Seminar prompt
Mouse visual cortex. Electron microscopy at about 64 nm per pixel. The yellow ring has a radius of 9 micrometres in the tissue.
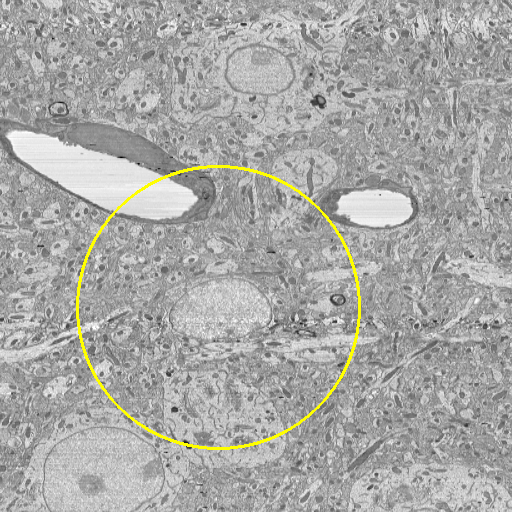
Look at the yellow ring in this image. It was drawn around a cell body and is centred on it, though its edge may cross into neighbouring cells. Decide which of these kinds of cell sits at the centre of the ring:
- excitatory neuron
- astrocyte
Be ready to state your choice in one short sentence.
The kind of cell at the ring's centre is an astrocyte.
